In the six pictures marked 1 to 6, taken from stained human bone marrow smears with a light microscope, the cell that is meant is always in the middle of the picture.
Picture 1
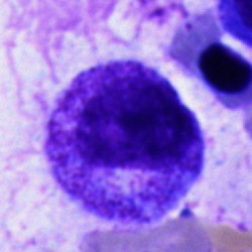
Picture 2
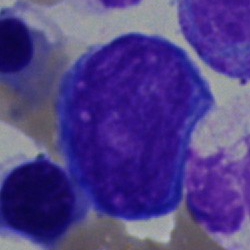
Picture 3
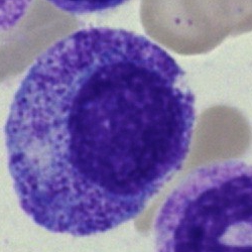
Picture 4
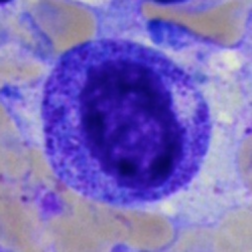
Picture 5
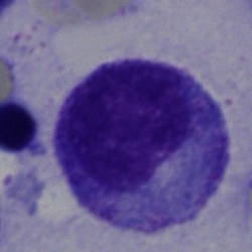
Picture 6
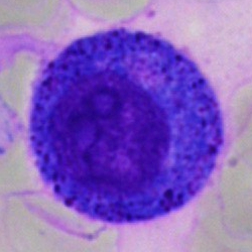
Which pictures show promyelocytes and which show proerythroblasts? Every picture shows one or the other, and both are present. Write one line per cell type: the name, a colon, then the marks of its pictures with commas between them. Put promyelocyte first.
promyelocyte: 1, 3, 4, 5
proerythroblast: 2, 6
